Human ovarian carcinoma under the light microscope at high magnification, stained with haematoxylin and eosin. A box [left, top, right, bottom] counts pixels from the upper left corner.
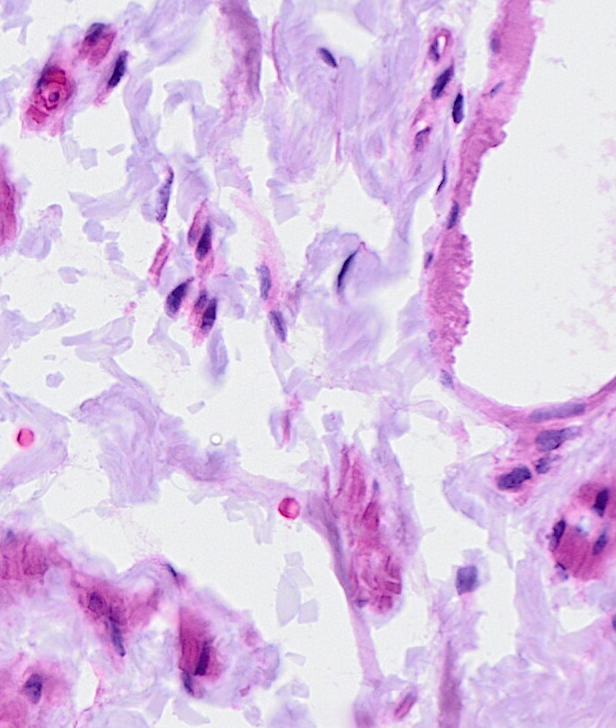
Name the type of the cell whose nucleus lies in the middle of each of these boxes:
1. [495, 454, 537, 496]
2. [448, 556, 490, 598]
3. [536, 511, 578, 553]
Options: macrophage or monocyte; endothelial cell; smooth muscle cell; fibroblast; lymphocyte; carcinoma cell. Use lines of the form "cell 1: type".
cell 1: endothelial cell
cell 2: fibroblast
cell 3: smooth muscle cell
